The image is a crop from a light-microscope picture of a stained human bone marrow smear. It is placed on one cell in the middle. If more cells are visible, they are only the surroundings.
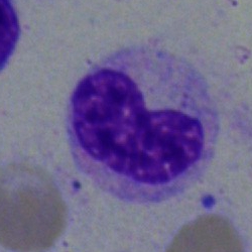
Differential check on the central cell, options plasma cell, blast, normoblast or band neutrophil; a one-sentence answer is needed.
Where the crop is centred, there is a band neutrophil.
